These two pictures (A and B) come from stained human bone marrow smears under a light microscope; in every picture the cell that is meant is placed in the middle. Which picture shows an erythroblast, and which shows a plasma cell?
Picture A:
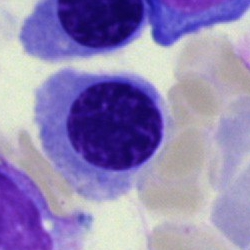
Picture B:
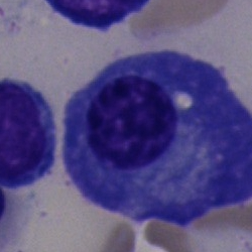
A: erythroblast
B: plasma cell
